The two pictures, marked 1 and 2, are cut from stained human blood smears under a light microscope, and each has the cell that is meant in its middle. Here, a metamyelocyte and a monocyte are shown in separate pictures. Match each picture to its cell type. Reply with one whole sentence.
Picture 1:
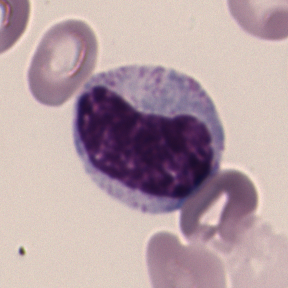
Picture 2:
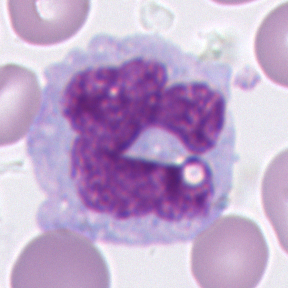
Picture 1 shows a metamyelocyte and picture 2 shows a monocyte.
